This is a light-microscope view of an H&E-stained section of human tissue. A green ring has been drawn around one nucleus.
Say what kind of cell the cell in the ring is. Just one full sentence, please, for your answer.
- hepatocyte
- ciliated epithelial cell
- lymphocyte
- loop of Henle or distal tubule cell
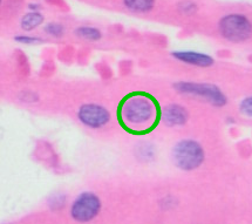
The cell type of the cell in the ring is that of a loop of Henle or distal tubule cell.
